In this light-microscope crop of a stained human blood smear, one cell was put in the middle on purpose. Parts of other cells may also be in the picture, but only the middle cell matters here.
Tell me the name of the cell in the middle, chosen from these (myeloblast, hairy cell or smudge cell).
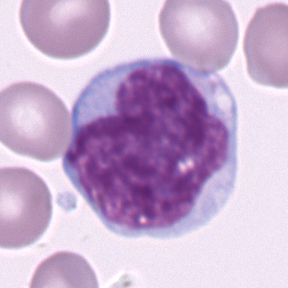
myeloblast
